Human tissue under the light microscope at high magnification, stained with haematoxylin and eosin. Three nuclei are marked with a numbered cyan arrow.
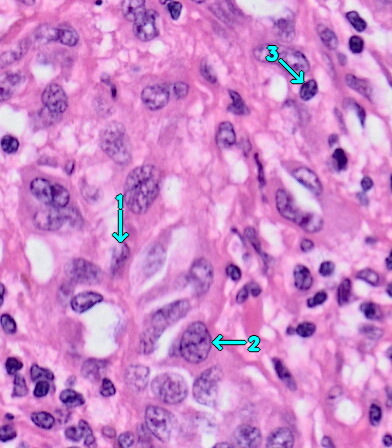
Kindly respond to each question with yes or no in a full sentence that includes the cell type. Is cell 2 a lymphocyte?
No, cell number 2 is a melanoma cell; it is not a lymphocyte.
